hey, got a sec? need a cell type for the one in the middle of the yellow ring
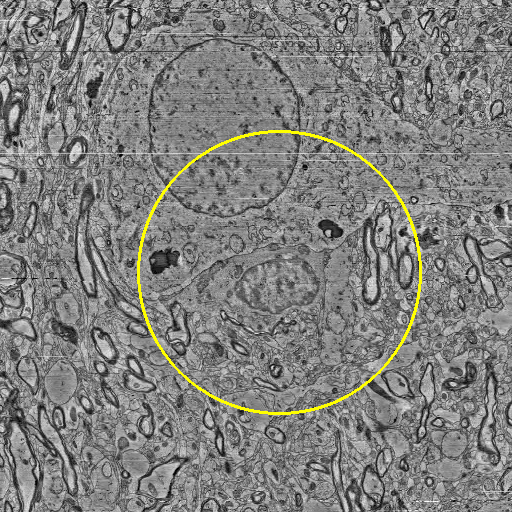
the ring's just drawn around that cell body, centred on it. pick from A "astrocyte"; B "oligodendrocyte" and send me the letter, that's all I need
B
